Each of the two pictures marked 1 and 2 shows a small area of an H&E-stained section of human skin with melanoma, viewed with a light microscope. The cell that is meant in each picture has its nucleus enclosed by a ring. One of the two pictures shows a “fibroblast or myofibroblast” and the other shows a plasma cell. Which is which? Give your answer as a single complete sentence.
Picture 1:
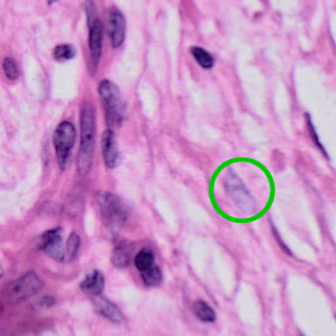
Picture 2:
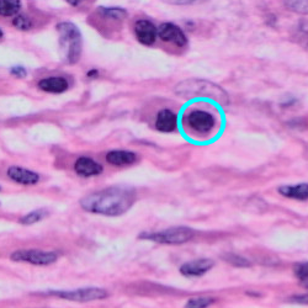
Picture 2 shows a plasma cell, while picture 1 shows a “fibroblast or myofibroblast”.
